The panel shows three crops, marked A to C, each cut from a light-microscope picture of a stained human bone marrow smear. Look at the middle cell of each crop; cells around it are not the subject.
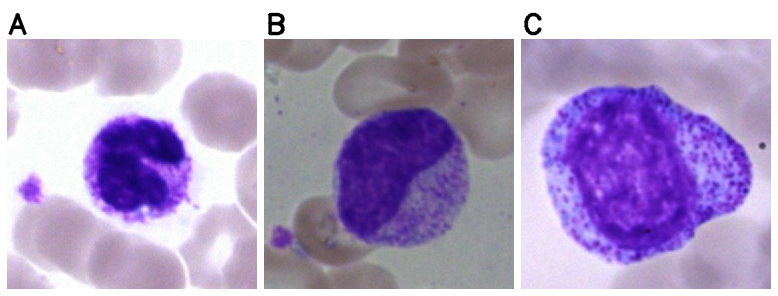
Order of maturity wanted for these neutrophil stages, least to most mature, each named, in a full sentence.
From least to most mature, the sequence is given by crop C (a promyelocyte), crop B (a metamyelocyte) and crop A (a segmented neutrophil).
